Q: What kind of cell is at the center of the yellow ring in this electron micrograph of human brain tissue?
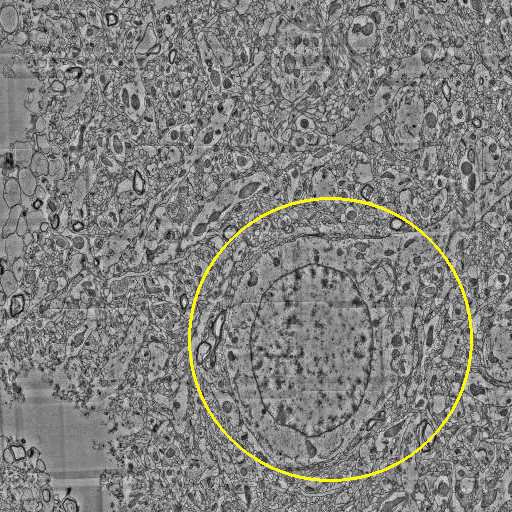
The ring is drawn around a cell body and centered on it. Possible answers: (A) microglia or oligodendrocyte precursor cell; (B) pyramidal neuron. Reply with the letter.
B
